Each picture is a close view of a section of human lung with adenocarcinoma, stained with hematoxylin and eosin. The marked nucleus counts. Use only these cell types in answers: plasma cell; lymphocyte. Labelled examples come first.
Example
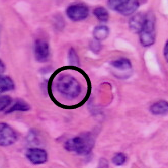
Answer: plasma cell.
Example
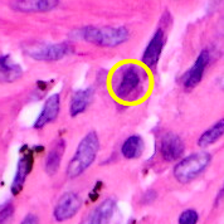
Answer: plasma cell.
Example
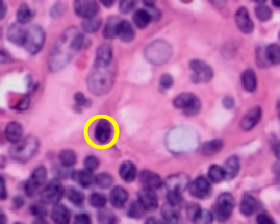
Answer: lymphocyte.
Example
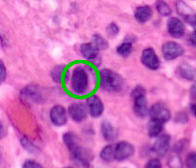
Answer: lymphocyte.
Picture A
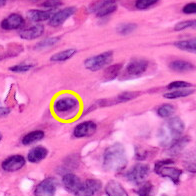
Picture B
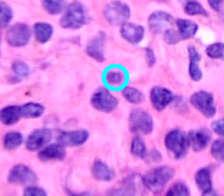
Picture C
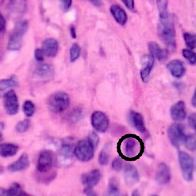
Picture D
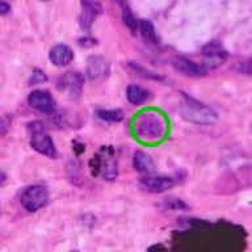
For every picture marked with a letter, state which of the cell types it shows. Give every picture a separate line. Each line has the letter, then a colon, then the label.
A: plasma cell.
B: lymphocyte.
C: plasma cell.
D: plasma cell.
